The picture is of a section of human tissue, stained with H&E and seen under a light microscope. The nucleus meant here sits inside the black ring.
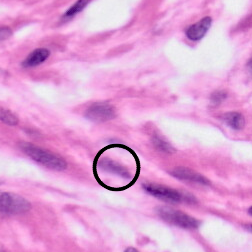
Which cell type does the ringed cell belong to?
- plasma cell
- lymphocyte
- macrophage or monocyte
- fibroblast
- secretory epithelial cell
fibroblast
